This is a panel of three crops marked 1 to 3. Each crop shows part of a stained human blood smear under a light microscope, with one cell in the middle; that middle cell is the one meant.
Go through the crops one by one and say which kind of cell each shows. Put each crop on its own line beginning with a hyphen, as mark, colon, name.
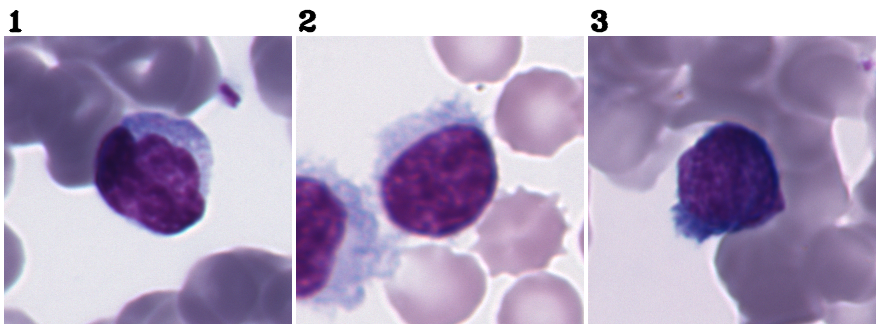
- 1: typical lymphocyte
- 2: hairy cell
- 3: typical lymphocyte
